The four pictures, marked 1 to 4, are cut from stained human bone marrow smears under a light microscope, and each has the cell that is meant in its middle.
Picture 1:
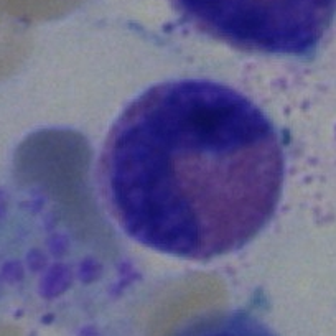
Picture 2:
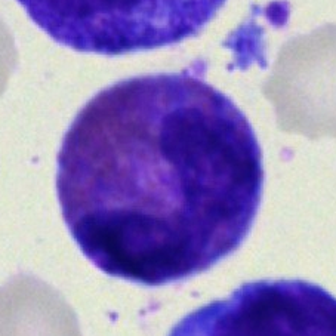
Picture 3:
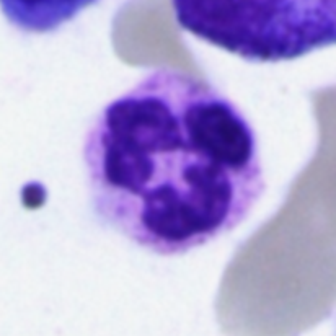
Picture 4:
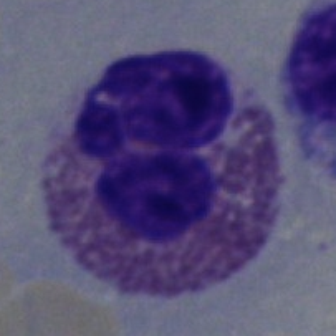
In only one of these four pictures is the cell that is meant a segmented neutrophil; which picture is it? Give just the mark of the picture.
3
